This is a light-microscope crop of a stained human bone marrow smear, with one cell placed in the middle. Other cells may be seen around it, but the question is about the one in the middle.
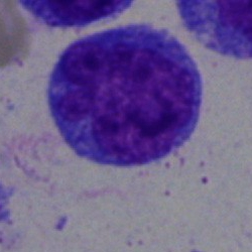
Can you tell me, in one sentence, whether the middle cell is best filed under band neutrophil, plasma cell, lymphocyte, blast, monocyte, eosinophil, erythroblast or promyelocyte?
The central cell shown in this smear crop is a blast.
